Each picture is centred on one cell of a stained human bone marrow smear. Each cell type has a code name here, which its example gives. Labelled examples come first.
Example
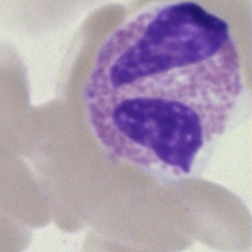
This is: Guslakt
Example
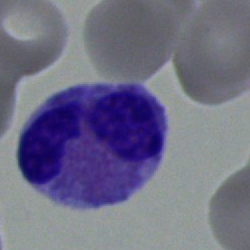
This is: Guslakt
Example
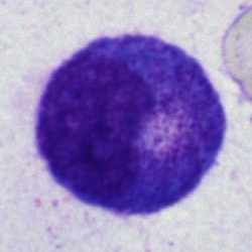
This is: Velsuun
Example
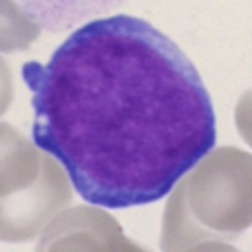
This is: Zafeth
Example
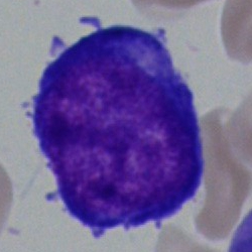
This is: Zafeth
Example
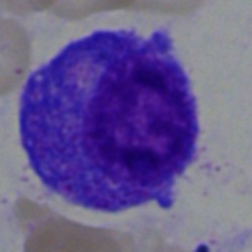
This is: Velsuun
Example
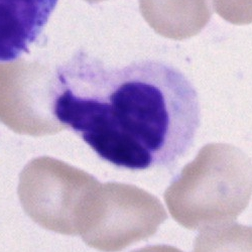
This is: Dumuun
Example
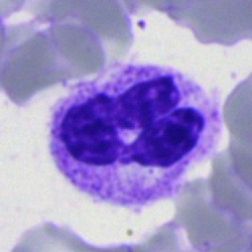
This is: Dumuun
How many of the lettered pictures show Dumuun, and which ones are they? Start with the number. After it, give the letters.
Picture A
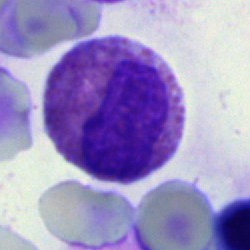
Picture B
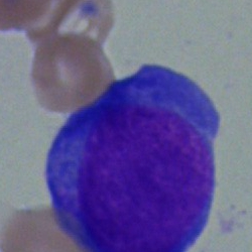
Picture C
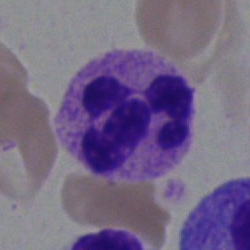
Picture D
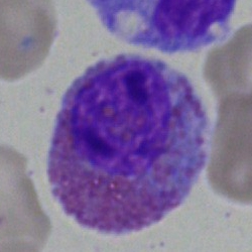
1: C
